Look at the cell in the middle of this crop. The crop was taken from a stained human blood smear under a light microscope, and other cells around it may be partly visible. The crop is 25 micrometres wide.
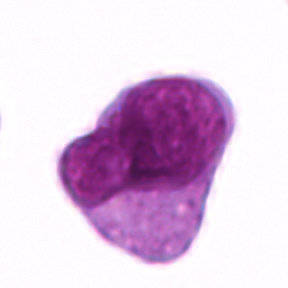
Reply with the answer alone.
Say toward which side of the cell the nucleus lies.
top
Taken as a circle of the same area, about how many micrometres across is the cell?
15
